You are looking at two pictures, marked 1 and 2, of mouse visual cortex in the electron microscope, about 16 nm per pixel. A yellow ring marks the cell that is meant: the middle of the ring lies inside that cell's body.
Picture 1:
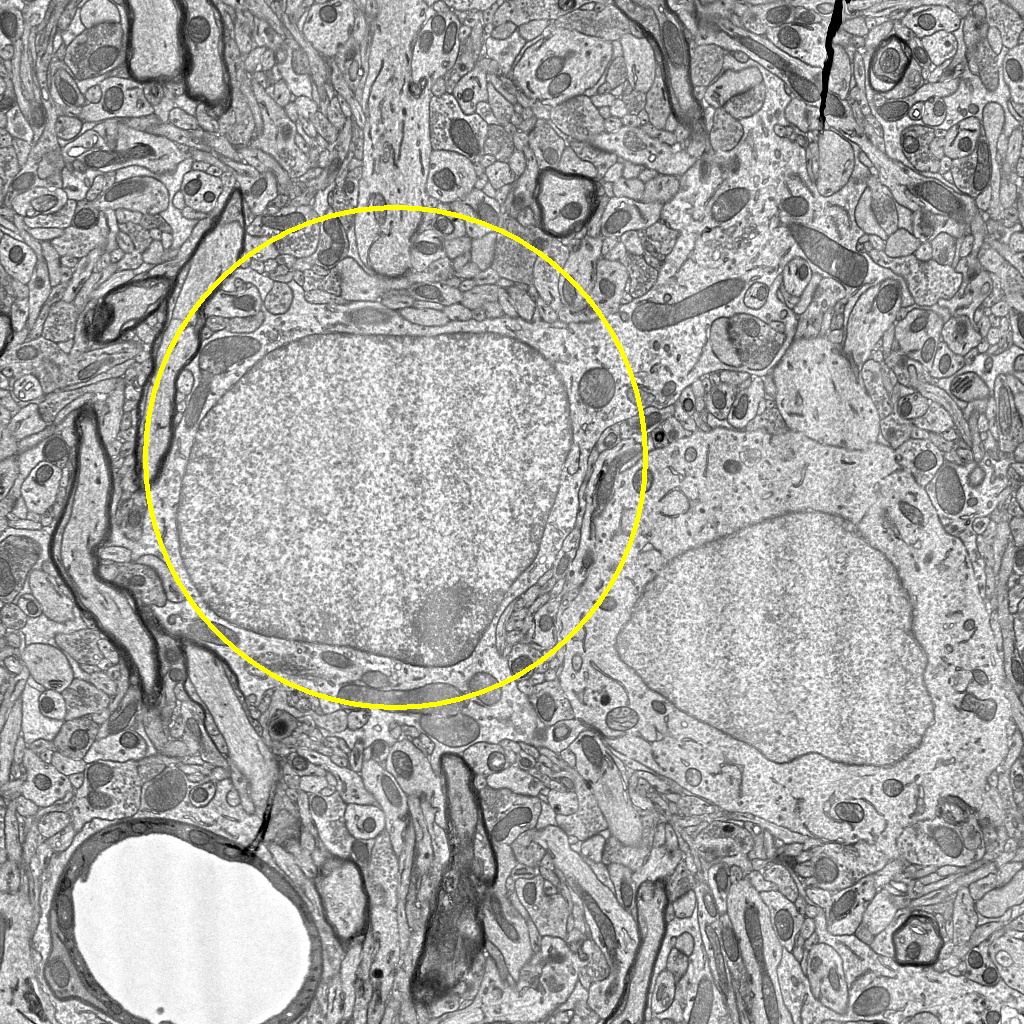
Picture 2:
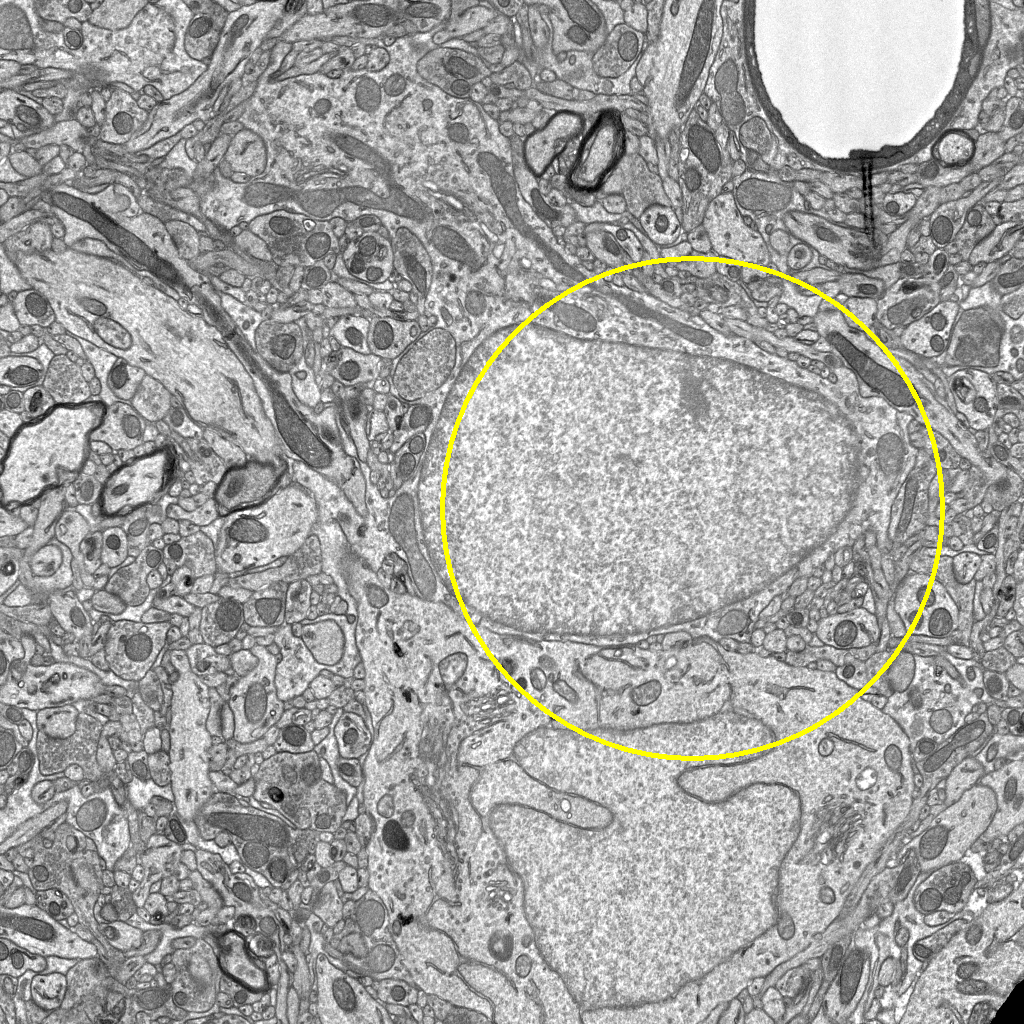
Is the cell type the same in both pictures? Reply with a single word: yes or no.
yes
